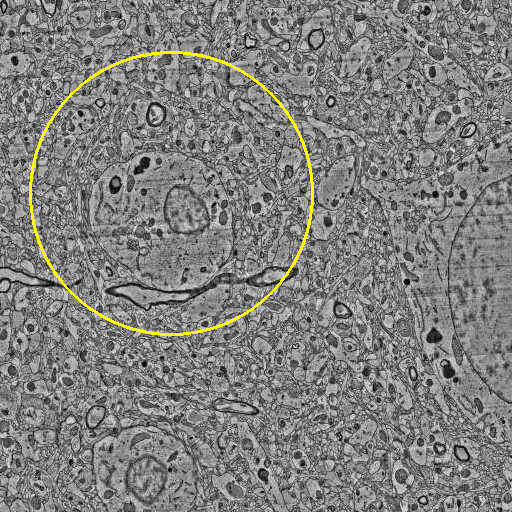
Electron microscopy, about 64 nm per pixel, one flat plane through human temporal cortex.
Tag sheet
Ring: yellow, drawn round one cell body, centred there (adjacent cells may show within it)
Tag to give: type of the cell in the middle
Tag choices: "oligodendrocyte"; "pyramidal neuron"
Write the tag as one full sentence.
I tag the cell centred in the yellow ring as a pyramidal neuron in this picture.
